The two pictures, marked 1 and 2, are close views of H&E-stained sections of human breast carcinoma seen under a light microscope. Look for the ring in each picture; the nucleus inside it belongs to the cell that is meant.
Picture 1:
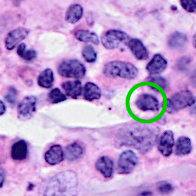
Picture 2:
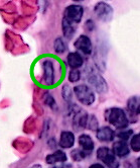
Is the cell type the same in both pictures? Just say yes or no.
no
